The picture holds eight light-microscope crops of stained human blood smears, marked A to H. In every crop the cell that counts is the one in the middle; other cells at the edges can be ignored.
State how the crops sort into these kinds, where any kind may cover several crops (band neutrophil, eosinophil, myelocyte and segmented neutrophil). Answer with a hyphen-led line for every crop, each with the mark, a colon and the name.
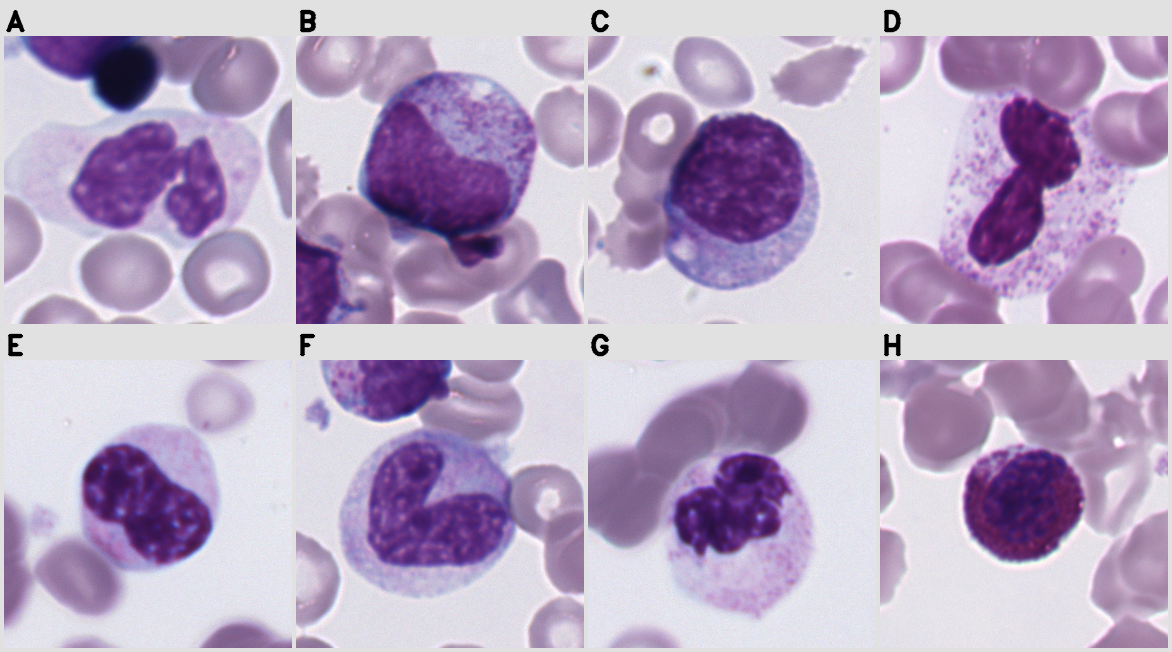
- A: segmented neutrophil
- B: myelocyte
- C: myelocyte
- D: segmented neutrophil
- E: segmented neutrophil
- F: band neutrophil
- G: segmented neutrophil
- H: eosinophil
